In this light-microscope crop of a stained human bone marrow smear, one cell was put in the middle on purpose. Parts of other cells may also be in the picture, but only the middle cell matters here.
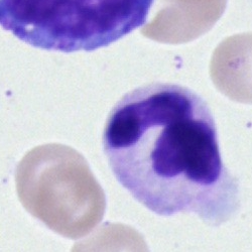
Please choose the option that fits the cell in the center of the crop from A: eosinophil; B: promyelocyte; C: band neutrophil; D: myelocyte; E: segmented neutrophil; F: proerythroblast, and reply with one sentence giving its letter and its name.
Given that the cell in the middle is a segmented neutrophil, option E is correct.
